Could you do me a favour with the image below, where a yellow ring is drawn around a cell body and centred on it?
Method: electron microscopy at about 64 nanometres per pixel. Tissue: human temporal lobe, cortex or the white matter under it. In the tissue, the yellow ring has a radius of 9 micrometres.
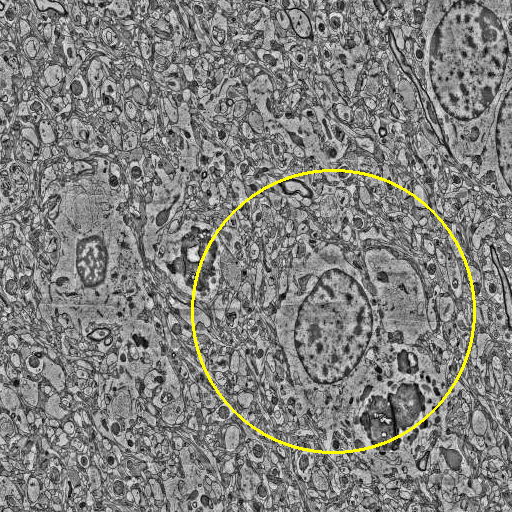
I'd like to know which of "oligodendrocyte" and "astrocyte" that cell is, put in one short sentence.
The cell at the ring's centre is an astrocyte.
